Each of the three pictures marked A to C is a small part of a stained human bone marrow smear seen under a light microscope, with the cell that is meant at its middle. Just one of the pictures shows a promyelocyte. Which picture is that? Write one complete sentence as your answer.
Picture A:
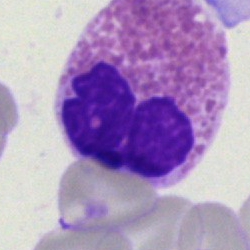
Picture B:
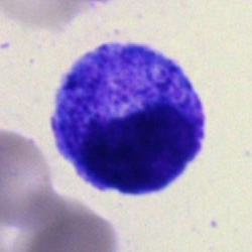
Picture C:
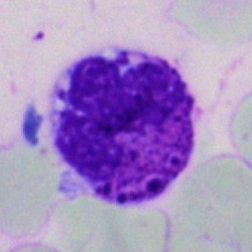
Picture B is the one that shows the promyelocyte.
